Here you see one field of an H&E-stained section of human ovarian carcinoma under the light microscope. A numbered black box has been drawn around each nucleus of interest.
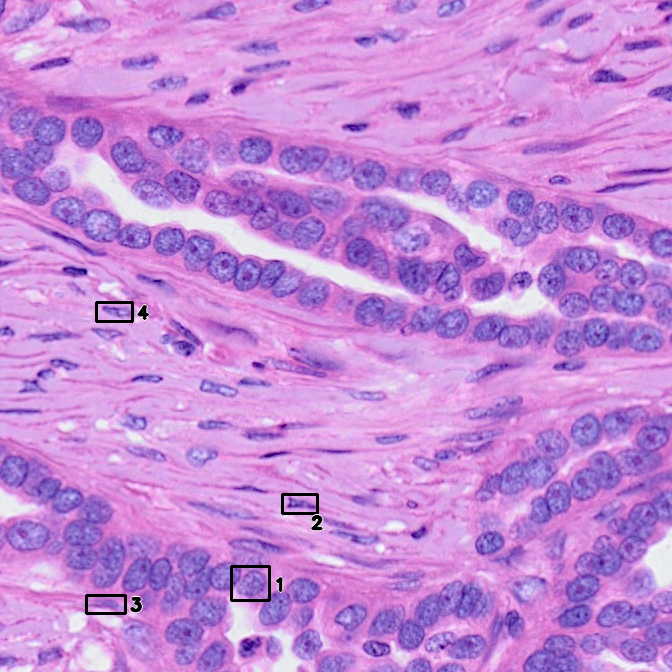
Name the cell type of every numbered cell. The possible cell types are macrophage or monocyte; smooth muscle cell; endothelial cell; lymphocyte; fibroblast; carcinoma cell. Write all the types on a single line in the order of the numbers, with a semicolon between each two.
carcinoma cell; fibroblast; fibroblast; fibroblast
